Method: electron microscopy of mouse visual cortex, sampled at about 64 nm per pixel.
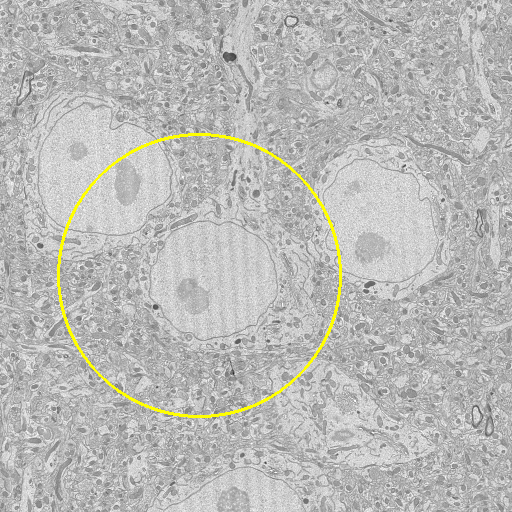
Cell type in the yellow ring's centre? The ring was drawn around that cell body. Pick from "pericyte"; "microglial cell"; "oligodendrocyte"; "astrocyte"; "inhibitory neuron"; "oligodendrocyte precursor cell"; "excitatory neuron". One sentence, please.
The ringed cell body is that of an excitatory neuron.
